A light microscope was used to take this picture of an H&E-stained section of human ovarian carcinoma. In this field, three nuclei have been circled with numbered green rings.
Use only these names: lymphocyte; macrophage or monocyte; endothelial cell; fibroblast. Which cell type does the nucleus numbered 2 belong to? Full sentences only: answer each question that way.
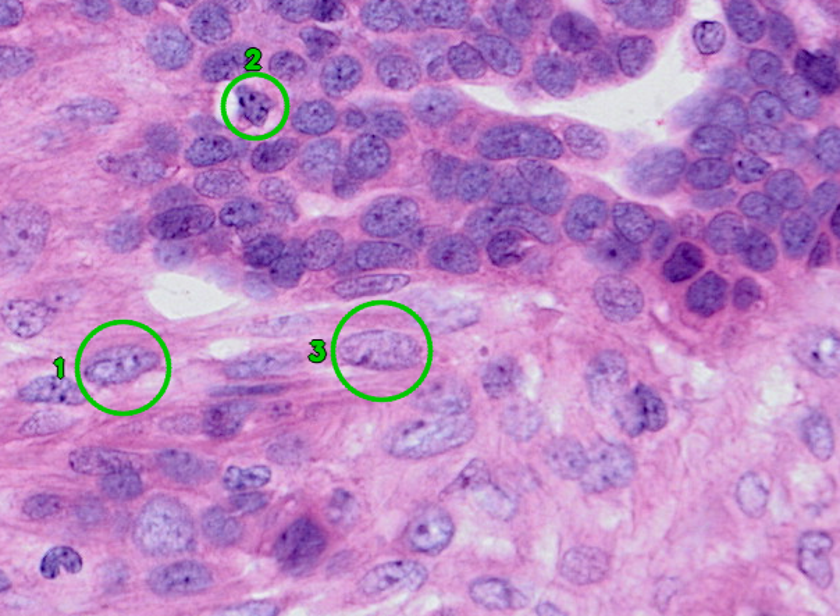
The cell tagged with 2 in this tissue section is a macrophage or monocyte.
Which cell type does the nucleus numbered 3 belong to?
Denoted by the label 3 in the section is a fibroblast.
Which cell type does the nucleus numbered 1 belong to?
Among the marked nuclei, number 1 belongs to a fibroblast.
